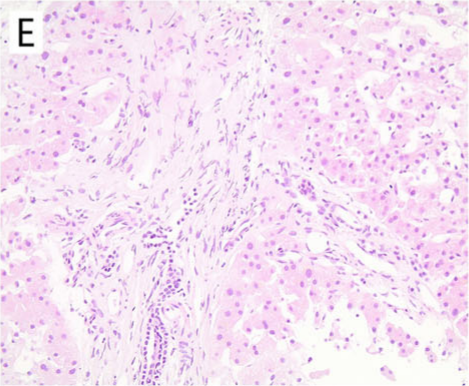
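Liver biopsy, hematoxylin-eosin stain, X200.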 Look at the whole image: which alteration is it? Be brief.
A: Mild lymphocytic infiltrates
